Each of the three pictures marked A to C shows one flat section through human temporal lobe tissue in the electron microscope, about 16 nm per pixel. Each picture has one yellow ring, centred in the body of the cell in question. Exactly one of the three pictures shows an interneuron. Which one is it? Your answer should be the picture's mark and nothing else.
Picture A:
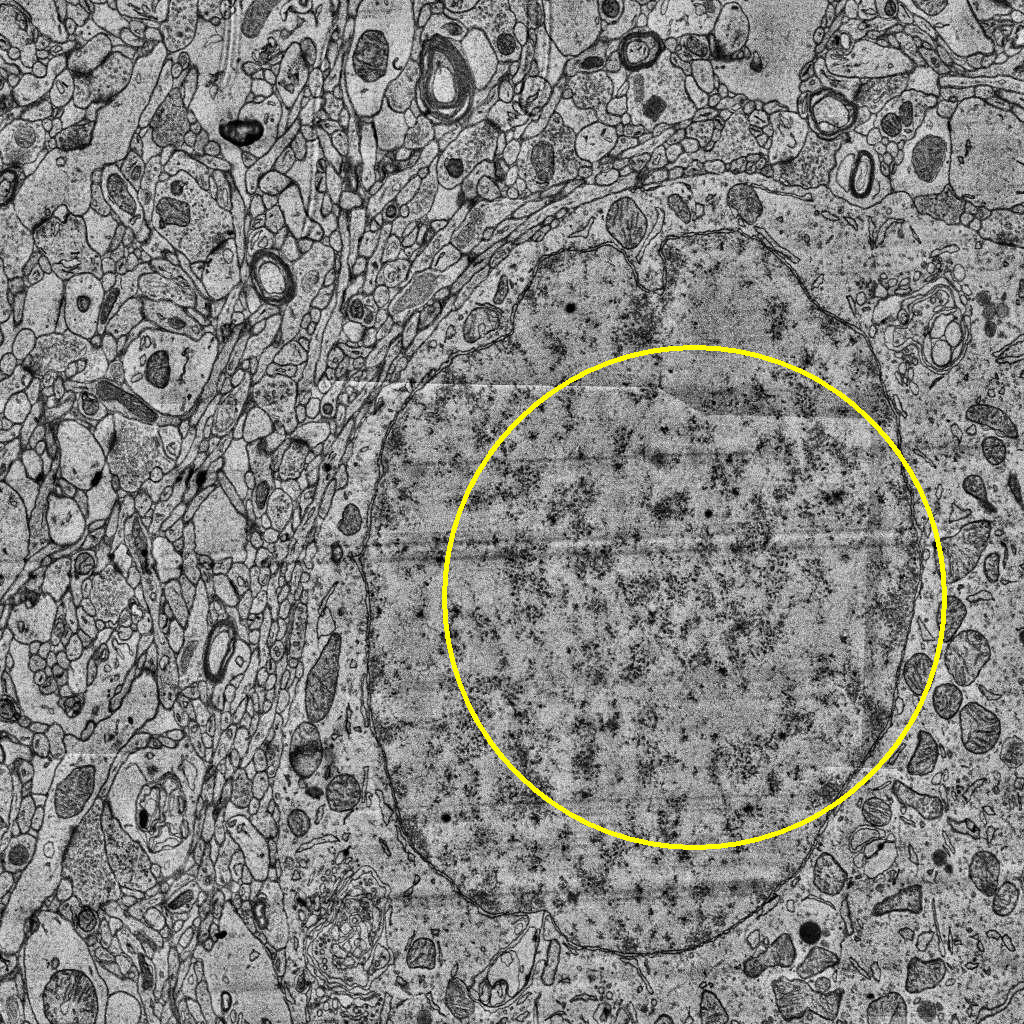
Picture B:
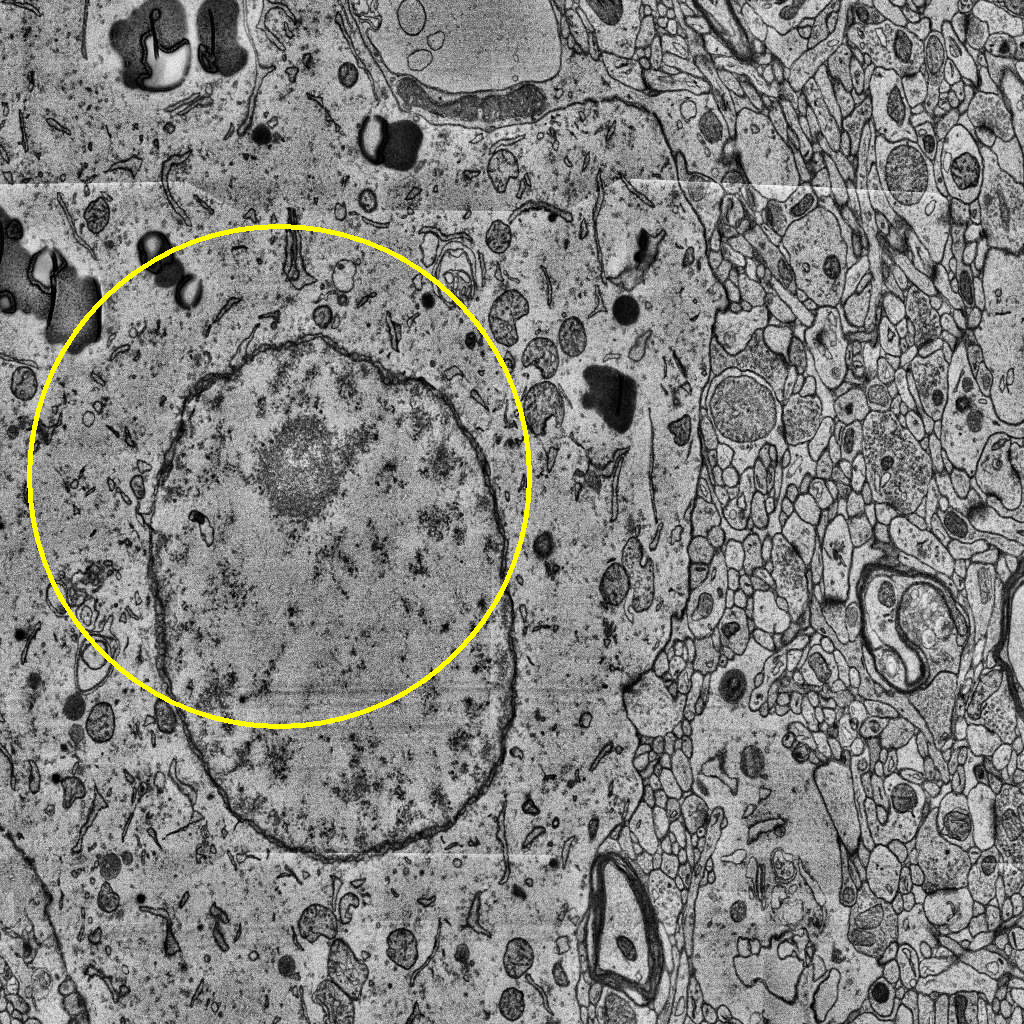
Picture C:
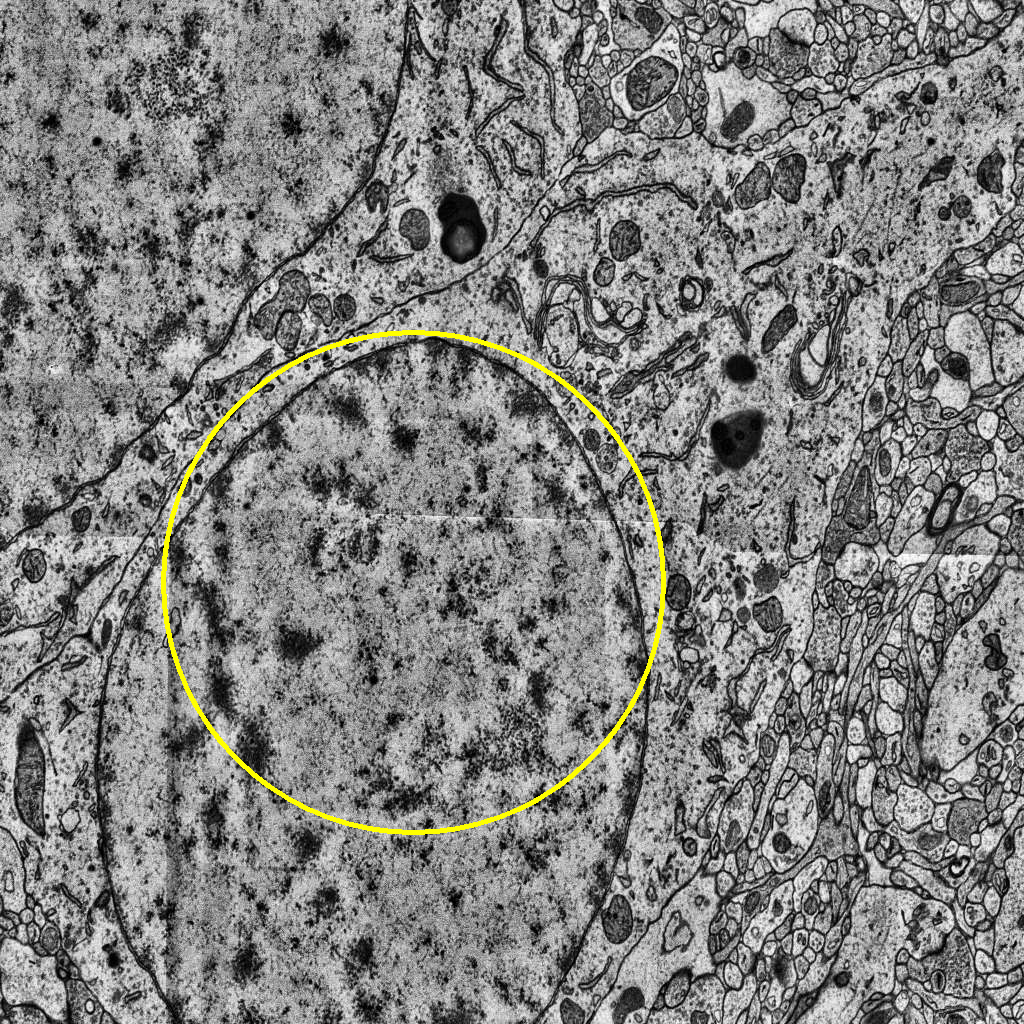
A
